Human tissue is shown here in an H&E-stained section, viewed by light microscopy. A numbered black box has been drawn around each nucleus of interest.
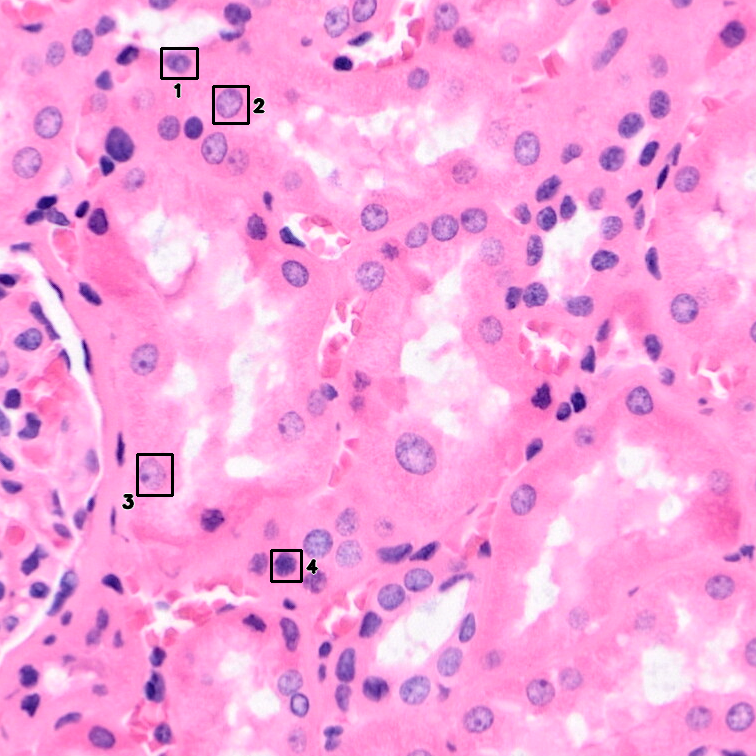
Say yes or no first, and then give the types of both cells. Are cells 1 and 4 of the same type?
Yes, both are loop of Henle or distal tubule cells.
